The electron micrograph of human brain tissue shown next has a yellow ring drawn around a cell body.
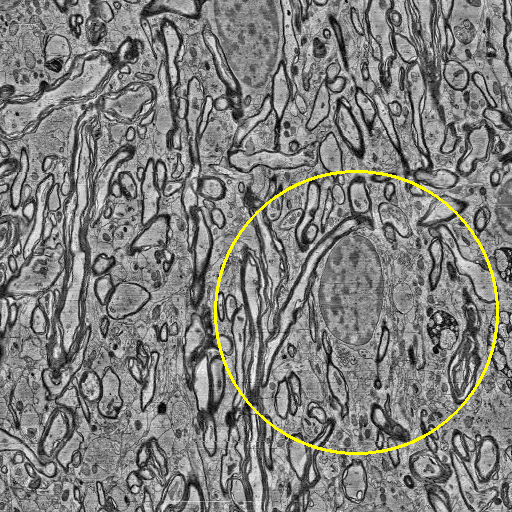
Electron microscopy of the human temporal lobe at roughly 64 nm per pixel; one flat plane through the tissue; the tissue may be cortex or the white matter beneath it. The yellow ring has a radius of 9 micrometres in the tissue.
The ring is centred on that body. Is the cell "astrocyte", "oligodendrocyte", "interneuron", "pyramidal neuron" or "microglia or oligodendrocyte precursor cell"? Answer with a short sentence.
The cell in question is a microglial cell or oligodendrocyte precursor cell.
